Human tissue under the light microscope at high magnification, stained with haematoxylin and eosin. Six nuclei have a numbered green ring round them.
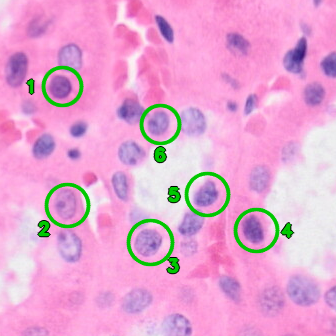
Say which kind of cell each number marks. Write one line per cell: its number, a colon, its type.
1: proximal tubule cell
2: proximal tubule cell
3: loop of Henle or distal tubule cell
4: loop of Henle or distal tubule cell
5: loop of Henle or distal tubule cell
6: loop of Henle or distal tubule cell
